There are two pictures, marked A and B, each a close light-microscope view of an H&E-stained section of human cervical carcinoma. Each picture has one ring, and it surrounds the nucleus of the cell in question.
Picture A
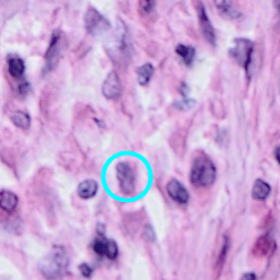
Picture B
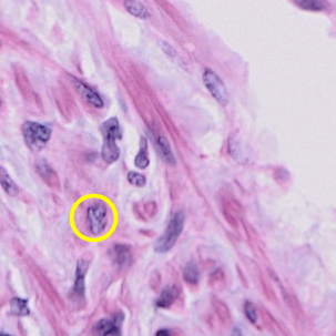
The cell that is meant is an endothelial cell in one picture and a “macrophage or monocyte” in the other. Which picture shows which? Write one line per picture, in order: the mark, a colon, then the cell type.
A: macrophage or monocyte
B: endothelial cell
